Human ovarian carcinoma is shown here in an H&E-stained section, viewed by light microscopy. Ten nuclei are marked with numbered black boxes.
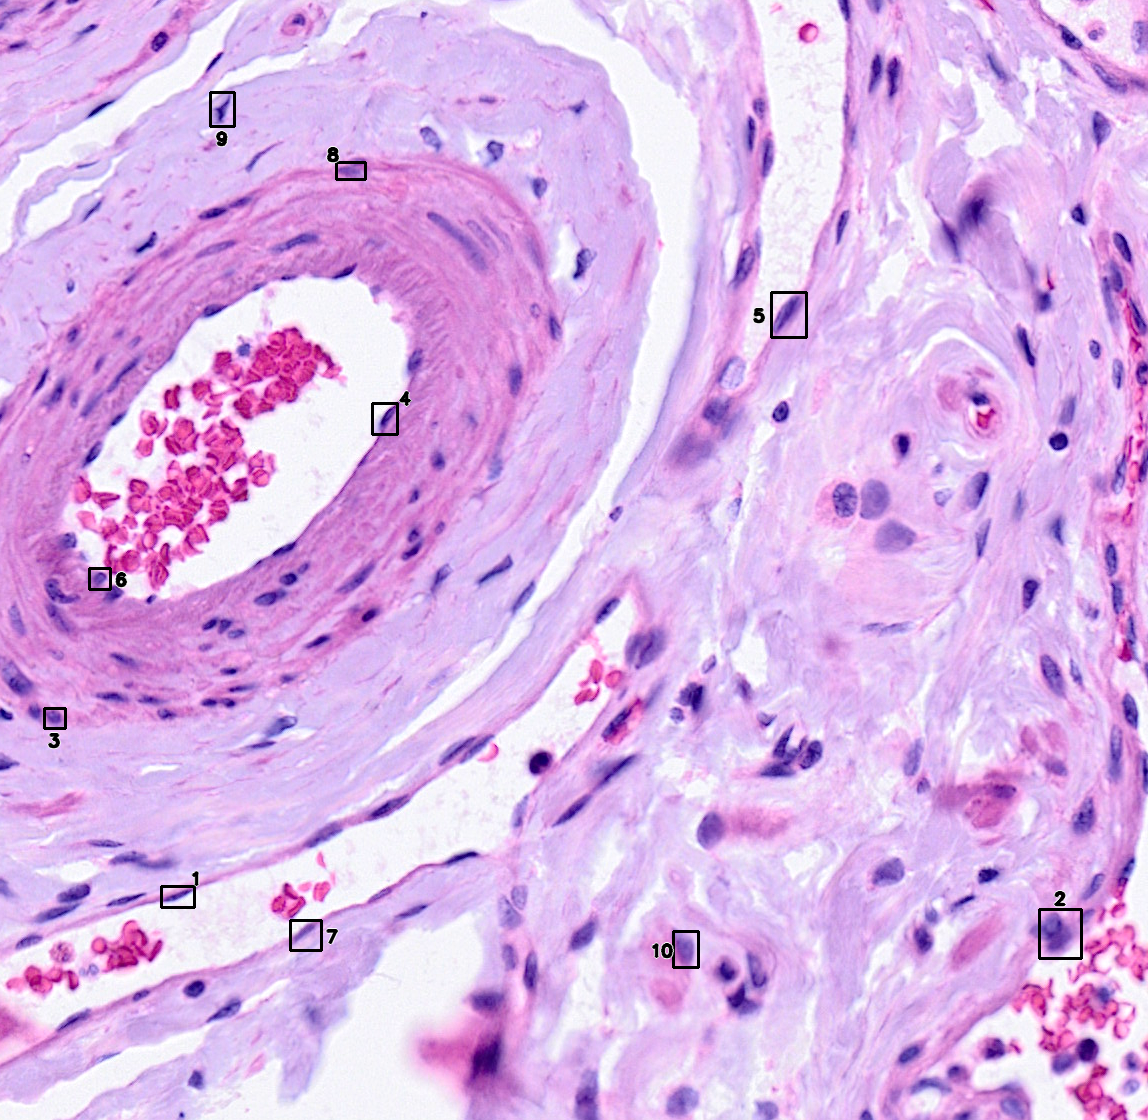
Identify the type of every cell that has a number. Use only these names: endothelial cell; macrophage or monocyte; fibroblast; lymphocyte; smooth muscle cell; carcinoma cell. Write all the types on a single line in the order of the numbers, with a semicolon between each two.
endothelial cell; endothelial cell; smooth muscle cell; endothelial cell; endothelial cell; endothelial cell; endothelial cell; smooth muscle cell; fibroblast; smooth muscle cell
